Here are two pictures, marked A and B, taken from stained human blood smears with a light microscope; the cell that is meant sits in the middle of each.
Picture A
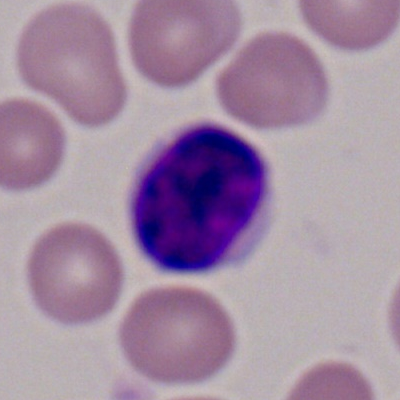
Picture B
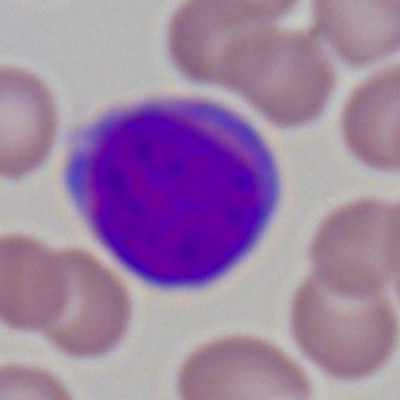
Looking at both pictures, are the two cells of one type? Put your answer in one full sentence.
No, the types are not the same, since picture A shows a lymphocyte and picture B a myeloblast.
